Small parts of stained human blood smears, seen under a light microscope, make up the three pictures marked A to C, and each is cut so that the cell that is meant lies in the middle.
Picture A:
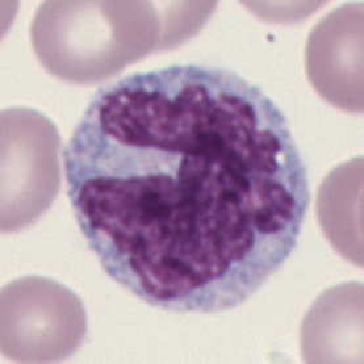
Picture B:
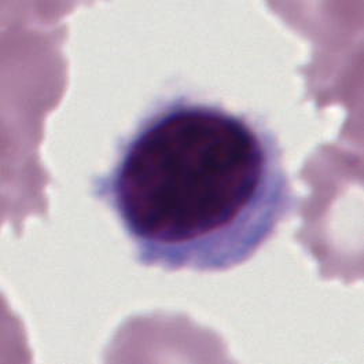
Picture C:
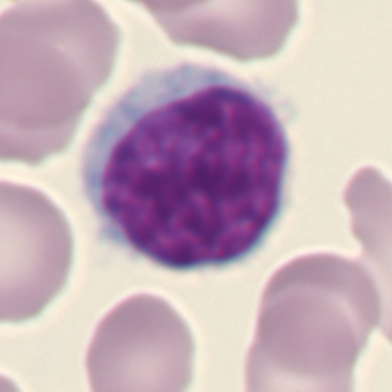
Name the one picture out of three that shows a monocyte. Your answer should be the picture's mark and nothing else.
A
